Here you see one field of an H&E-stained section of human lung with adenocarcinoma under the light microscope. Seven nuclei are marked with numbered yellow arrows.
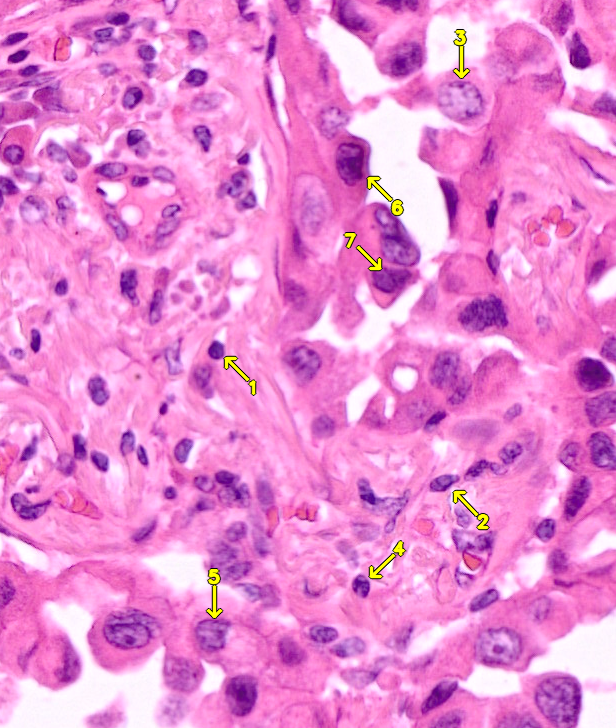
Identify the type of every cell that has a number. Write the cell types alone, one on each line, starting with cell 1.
lymphocyte
lymphocyte
carcinoma cell
lymphocyte
carcinoma cell
carcinoma cell
carcinoma cell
